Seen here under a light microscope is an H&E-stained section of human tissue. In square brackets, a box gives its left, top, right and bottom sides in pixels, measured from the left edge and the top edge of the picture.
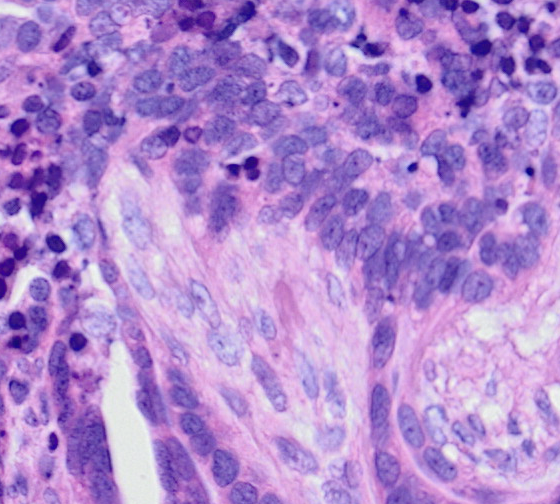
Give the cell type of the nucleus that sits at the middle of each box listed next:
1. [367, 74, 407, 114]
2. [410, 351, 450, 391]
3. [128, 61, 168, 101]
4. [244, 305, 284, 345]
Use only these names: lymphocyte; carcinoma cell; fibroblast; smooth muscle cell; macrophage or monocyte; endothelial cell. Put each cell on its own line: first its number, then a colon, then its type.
1: carcinoma cell
2: fibroblast
3: carcinoma cell
4: fibroblast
